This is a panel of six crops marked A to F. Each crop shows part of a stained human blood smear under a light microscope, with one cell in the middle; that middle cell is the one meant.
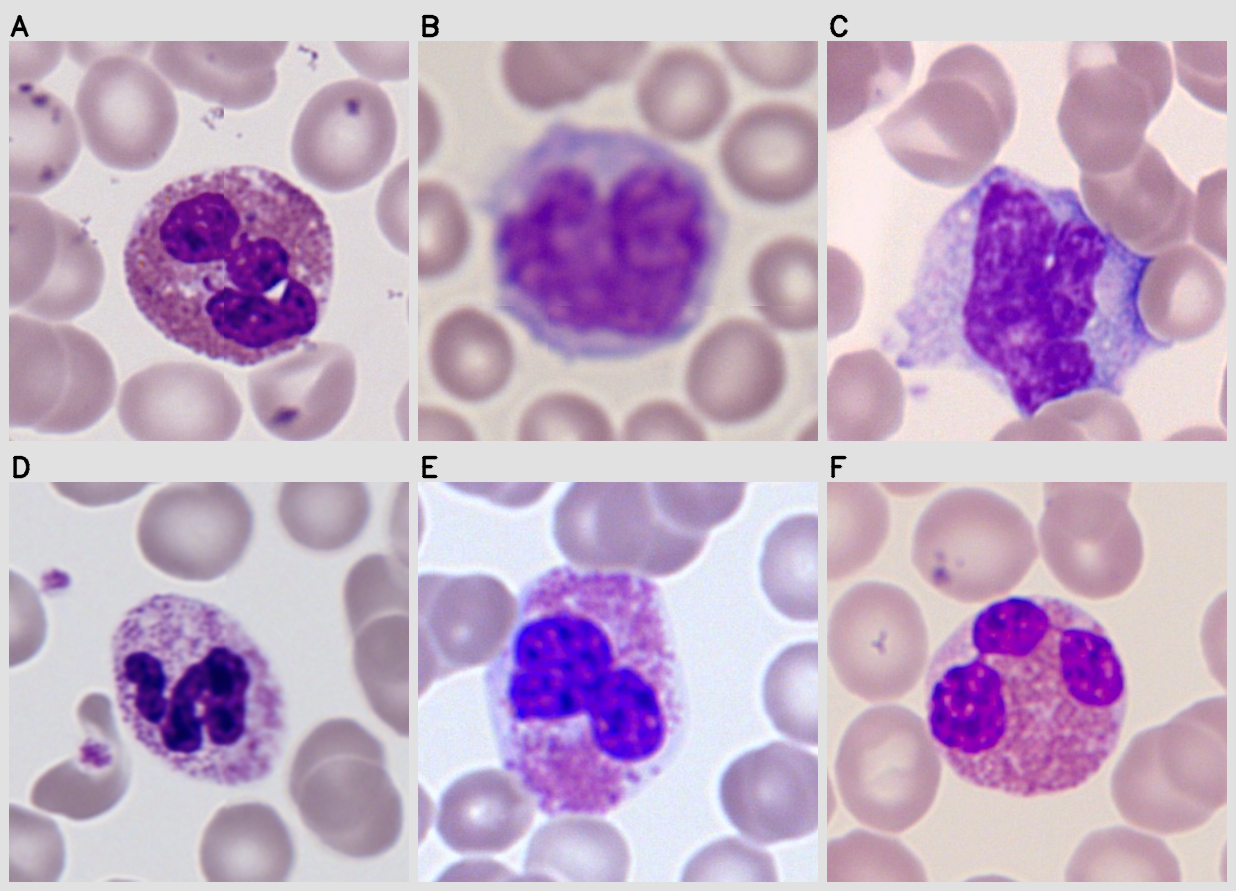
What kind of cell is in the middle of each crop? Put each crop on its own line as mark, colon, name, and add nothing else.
A: eosinophil
B: monocyte
C: monocyte
D: segmented neutrophil
E: eosinophil
F: eosinophil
